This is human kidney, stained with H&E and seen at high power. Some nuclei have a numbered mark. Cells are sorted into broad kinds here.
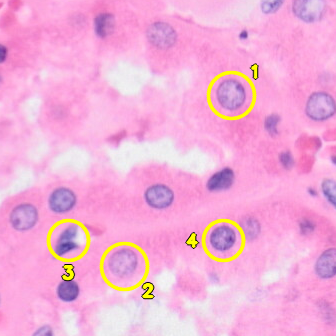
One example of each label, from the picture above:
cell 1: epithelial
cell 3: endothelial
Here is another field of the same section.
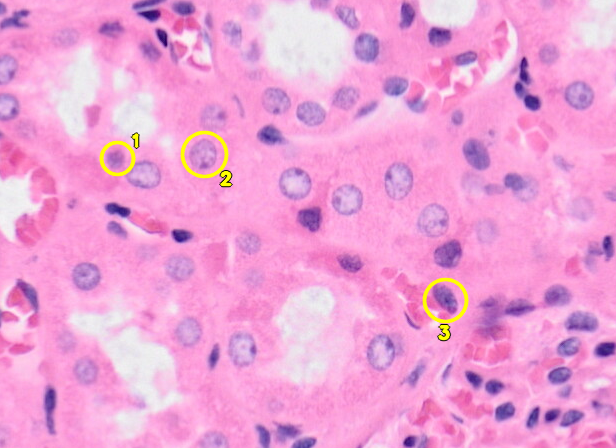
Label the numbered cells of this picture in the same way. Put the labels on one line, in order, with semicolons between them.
epithelial; epithelial; endothelial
